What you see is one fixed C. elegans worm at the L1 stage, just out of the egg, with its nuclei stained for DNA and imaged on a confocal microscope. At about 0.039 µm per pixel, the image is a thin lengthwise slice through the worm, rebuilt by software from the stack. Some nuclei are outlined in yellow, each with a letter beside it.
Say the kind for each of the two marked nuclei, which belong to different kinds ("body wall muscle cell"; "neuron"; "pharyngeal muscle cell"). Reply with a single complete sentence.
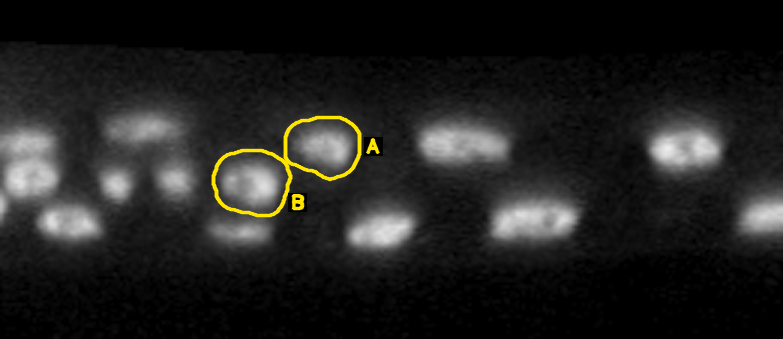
A is in a body wall muscle cell and B is in a pharyngeal muscle cell.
